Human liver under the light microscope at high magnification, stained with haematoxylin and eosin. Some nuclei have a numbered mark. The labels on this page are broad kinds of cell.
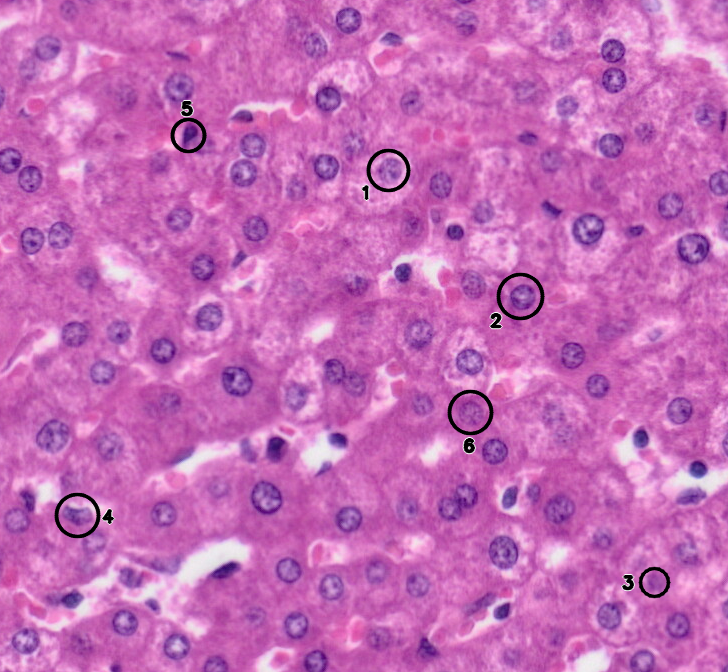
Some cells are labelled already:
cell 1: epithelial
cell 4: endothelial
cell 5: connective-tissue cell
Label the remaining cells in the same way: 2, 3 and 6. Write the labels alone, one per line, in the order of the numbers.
epithelial
epithelial
epithelial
